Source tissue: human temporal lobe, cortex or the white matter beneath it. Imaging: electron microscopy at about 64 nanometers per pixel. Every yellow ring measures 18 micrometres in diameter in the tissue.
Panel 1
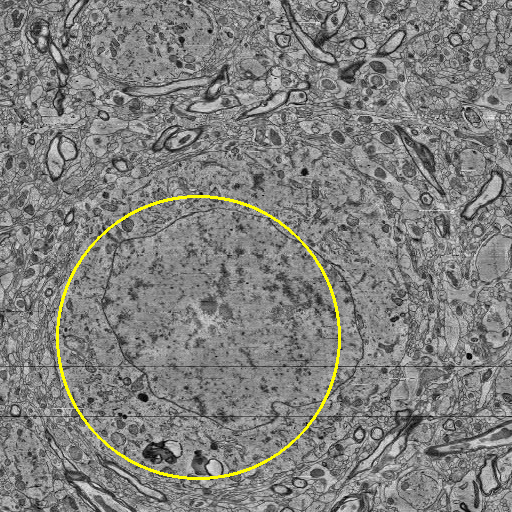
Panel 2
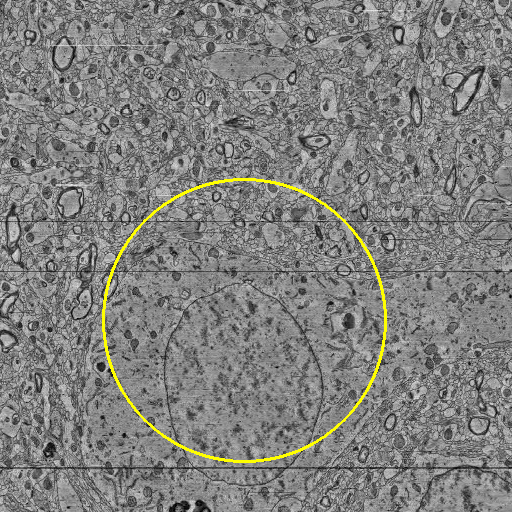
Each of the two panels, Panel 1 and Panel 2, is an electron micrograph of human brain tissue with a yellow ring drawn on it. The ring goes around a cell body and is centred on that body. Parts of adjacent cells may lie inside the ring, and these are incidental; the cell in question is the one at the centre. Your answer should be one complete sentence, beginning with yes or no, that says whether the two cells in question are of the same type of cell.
Yes, the two cells are of the same type.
